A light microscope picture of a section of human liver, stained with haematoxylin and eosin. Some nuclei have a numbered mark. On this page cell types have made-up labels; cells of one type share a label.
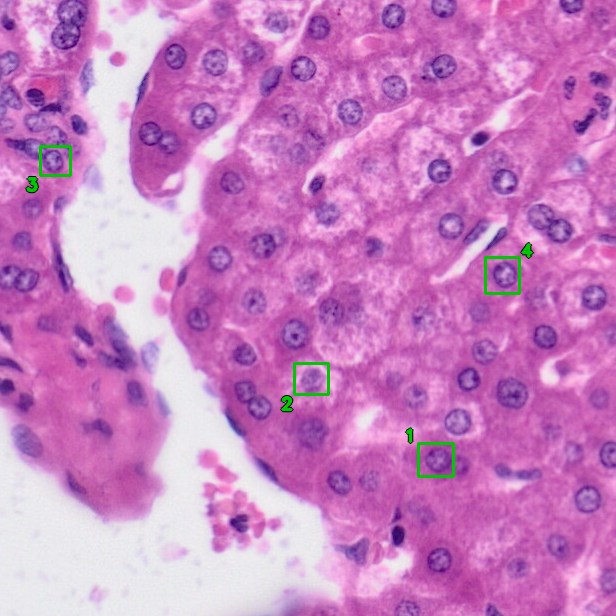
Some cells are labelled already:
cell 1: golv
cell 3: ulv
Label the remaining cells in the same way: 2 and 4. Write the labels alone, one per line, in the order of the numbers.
golv
golv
